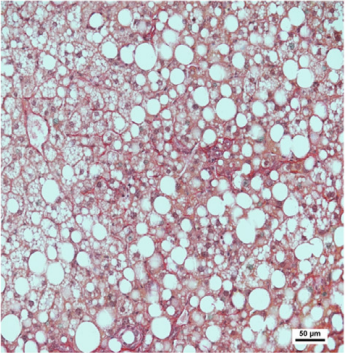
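This is liver tissue in which the hepatocytes are crowded with fat, a picture of steatosis. Round, clear, empty-looking vacuoles of many sizes fill the field, some large enough to push the rest of the cell aside and others small and clustered in a foamy cytoplasm. Between the vacuoles the remaining cytoplasm is pale pink with scattered dark granular specks. The normal cord-like arrangement of hepatocytes is hard to make out because the fat dominates the tissue.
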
